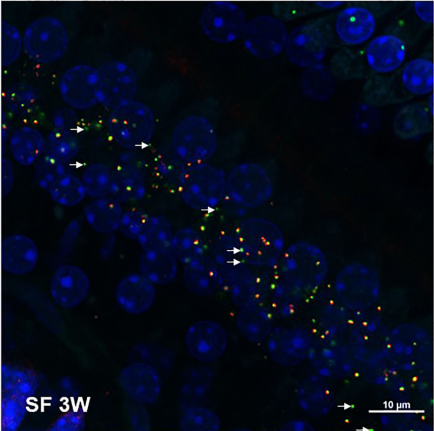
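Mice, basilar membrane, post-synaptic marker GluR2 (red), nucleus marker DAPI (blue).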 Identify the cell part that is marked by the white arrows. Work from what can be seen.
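Orphan ribbons. The arrows point to small green dots. The dots at the arrows have no red dot next to them or overlapping them. Elsewhere many green dots sit beside or on red dots and look yellow-orange.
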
